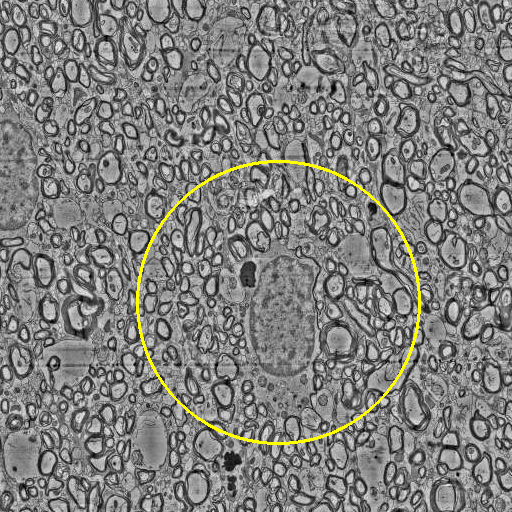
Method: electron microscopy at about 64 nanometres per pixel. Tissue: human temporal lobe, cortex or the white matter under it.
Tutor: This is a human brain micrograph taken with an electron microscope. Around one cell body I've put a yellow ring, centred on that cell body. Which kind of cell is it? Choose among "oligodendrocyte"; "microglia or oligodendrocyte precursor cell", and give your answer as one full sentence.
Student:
Going by your list, the cell centred in the yellow ring is an oligodendrocyte.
